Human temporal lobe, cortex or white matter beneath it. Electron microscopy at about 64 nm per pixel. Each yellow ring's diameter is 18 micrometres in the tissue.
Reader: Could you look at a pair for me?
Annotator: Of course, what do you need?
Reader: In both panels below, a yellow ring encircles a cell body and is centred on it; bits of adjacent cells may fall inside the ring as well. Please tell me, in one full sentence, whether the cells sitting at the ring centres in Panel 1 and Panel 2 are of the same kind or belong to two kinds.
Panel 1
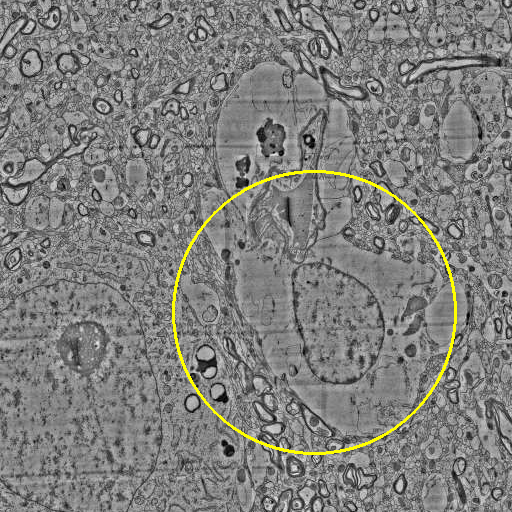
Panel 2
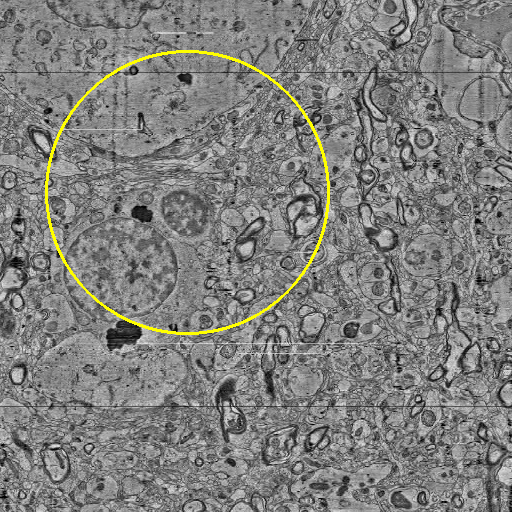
The cell at the ring's centre in Panel 1 and the one in Panel 2 belong to two kinds.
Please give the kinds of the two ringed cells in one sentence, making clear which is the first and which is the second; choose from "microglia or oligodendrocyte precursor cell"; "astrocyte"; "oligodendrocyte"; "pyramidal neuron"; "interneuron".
In the second picture the ringed cell is an oligodendrocyte; in the first it is an astrocyte.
